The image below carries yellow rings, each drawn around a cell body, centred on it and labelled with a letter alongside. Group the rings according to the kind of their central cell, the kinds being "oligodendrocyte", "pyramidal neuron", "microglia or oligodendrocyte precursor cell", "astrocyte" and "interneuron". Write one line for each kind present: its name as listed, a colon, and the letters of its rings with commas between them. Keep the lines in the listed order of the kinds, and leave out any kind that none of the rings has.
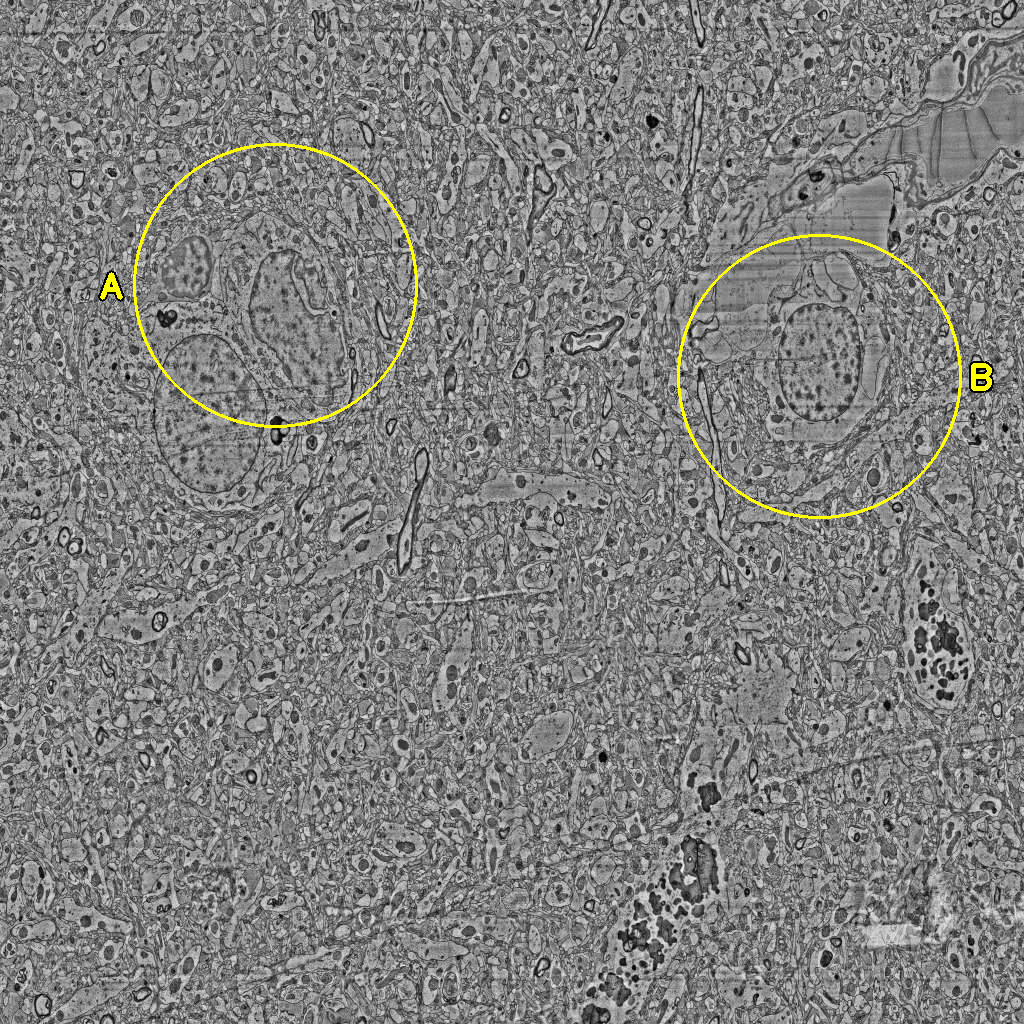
astrocyte: B
interneuron: A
